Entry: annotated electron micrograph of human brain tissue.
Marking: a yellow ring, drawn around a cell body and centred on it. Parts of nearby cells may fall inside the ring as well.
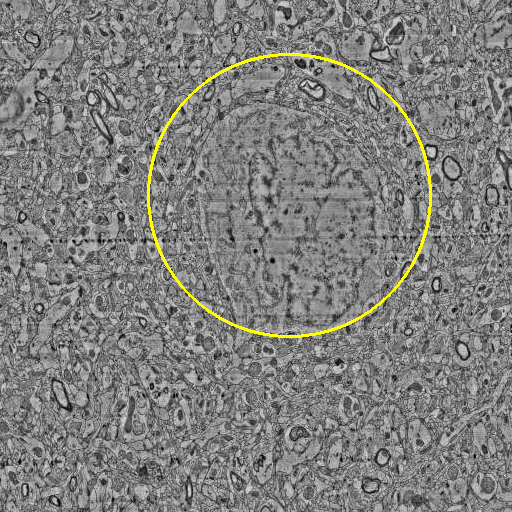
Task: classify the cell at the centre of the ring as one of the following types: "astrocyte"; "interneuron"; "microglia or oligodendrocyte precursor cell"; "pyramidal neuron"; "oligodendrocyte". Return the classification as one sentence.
The marked cell is classified as an interneuron.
